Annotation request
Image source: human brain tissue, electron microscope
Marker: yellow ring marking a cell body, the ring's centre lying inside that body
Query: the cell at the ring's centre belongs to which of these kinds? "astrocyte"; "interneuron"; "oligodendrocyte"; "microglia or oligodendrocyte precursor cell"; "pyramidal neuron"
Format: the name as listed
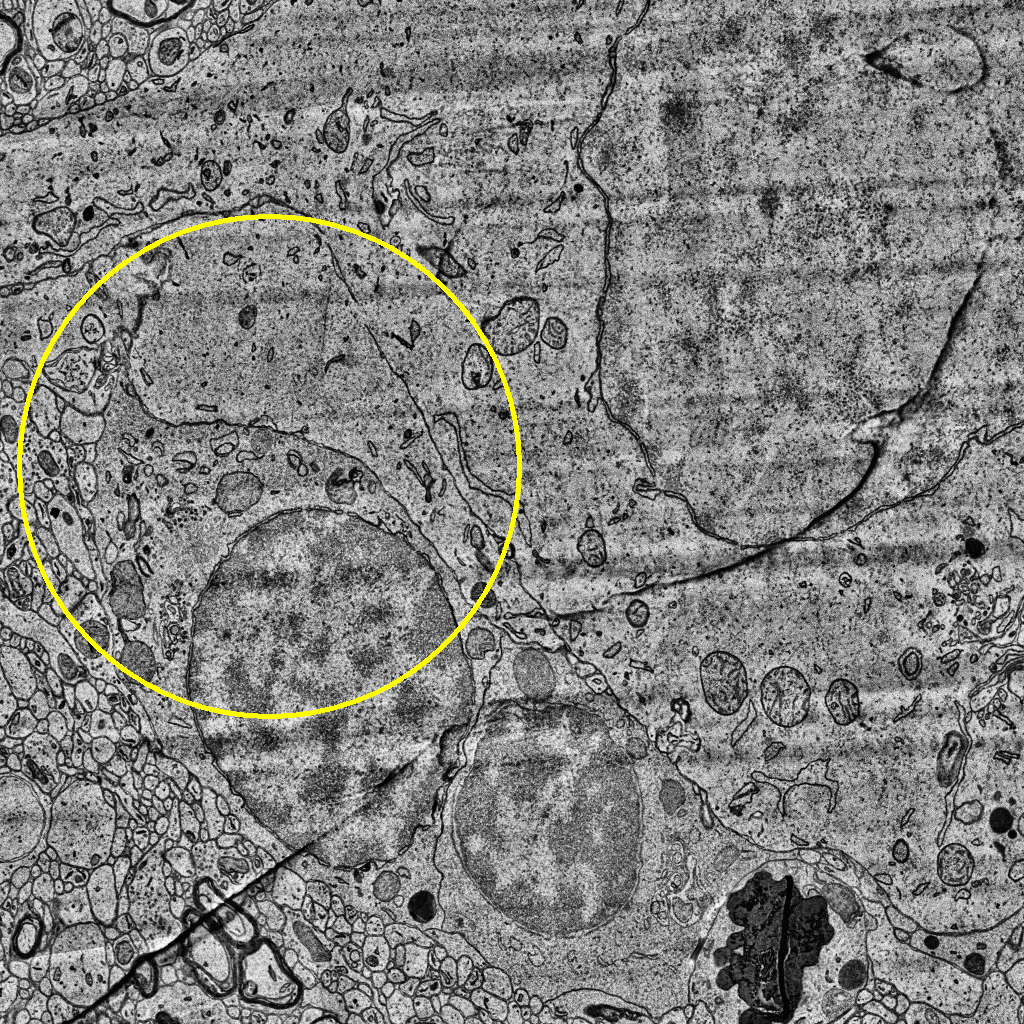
oligodendrocyte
